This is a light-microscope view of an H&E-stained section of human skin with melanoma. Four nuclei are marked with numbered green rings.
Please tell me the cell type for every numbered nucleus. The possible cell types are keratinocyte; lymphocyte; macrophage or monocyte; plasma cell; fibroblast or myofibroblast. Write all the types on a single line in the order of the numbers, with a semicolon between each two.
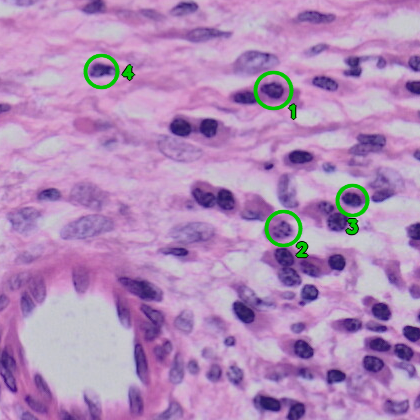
plasma cell; plasma cell; plasma cell; lymphocyte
